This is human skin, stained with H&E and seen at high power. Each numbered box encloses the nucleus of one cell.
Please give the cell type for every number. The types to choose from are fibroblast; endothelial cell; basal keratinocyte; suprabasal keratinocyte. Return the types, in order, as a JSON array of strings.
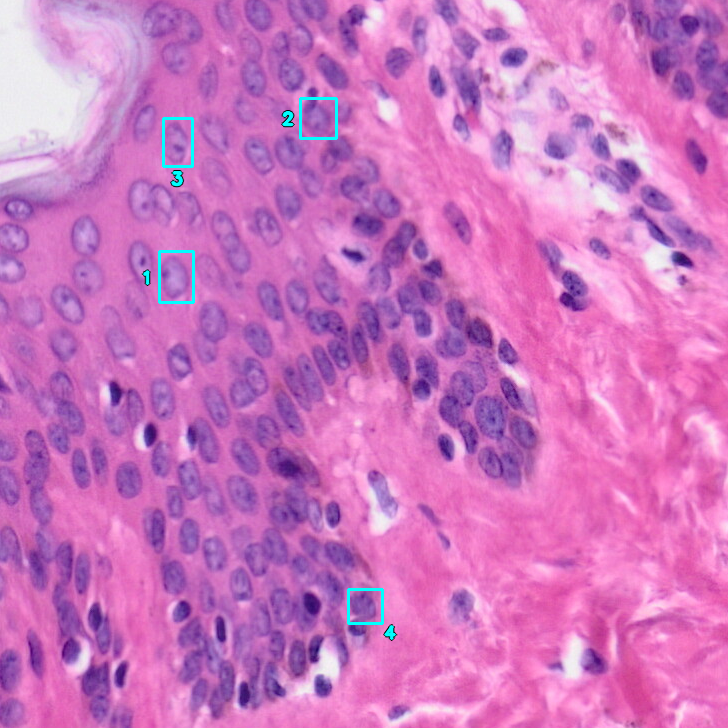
["suprabasal keratinocyte", "basal keratinocyte", "suprabasal keratinocyte", "basal keratinocyte"]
